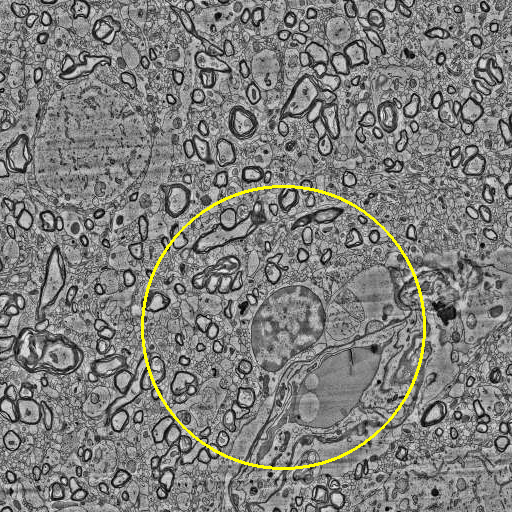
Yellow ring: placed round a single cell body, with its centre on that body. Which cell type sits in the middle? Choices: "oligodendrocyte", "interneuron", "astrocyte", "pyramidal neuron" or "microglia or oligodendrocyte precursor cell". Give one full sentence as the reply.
It is a microglial cell or oligodendrocyte precursor cell whose cell body sits at the centre of the yellow ring.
